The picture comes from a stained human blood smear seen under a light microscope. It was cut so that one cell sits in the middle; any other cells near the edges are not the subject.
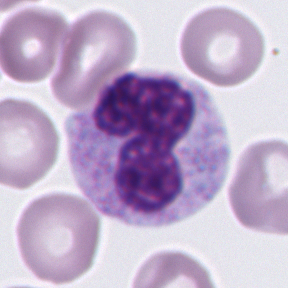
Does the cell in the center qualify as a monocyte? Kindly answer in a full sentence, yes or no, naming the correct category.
No, the cell at the centre of the crop is a segmented neutrophil and not a monocyte.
